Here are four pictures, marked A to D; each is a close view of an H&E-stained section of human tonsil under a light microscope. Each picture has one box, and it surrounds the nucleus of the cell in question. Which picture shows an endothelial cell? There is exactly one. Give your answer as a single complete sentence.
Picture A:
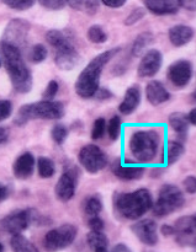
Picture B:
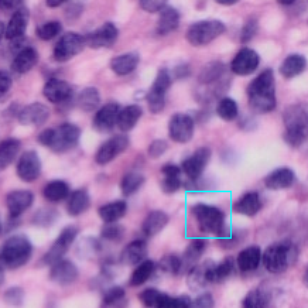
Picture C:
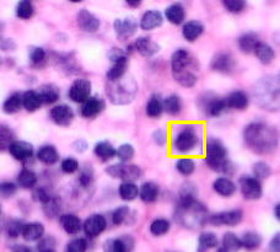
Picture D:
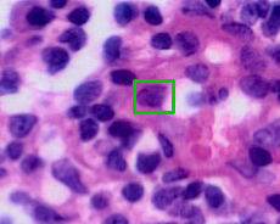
The cell in picture D is the endothelial cell.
